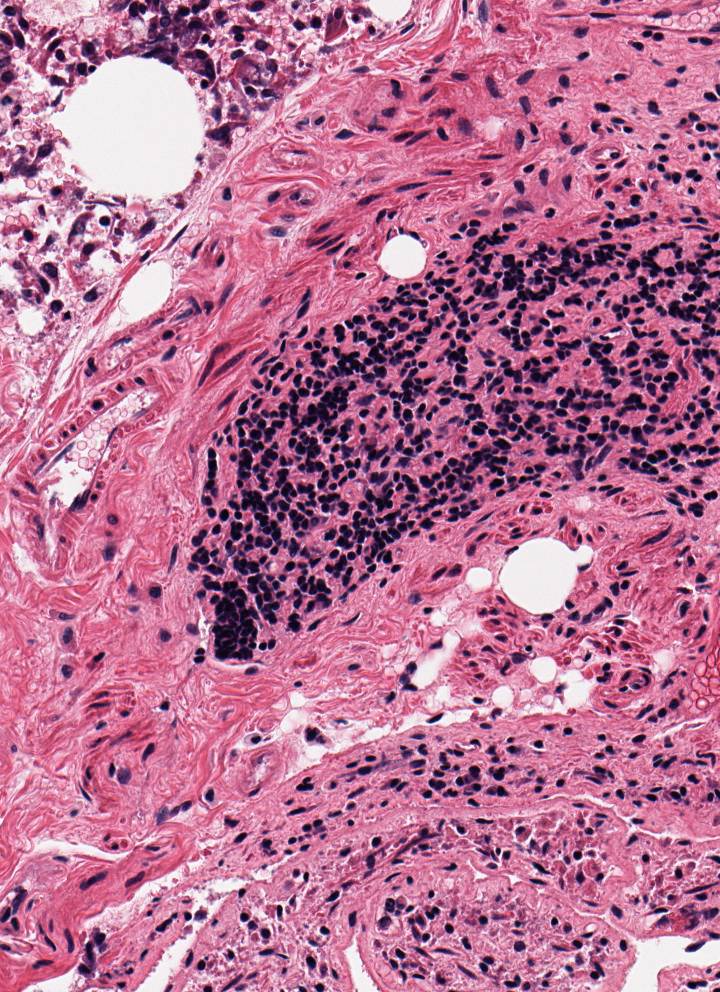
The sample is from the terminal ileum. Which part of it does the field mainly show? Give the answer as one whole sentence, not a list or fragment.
Shown here is the tissue part known as dense connective tissue.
